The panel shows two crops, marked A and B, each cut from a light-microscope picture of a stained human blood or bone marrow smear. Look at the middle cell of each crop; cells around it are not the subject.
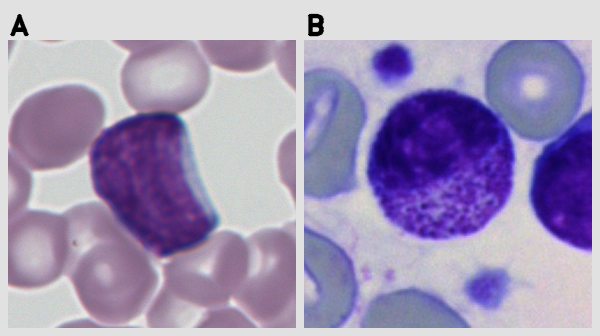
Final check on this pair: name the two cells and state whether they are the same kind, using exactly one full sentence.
No: a blast sits in crop A, and a myelocyte sits in crop B.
